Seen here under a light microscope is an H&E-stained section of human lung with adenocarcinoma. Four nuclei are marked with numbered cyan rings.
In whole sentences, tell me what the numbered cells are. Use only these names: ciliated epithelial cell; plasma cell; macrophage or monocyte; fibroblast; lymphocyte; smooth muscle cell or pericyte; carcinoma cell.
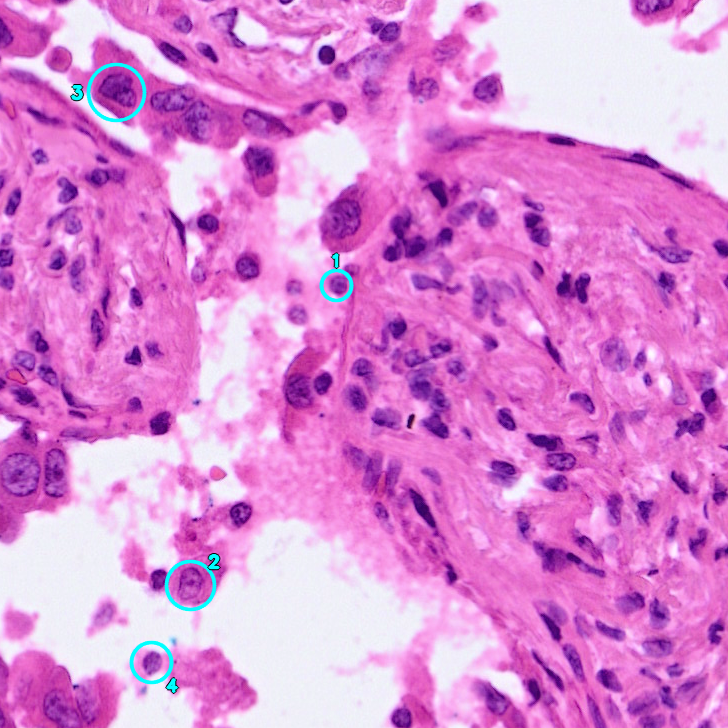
Cells 1 and 4 are lymphocytes. Cell 2 is a macrophage or monocyte. Cell 3 is a carcinoma cell.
